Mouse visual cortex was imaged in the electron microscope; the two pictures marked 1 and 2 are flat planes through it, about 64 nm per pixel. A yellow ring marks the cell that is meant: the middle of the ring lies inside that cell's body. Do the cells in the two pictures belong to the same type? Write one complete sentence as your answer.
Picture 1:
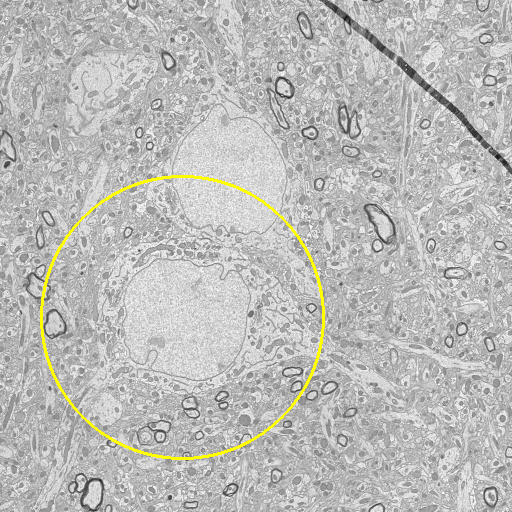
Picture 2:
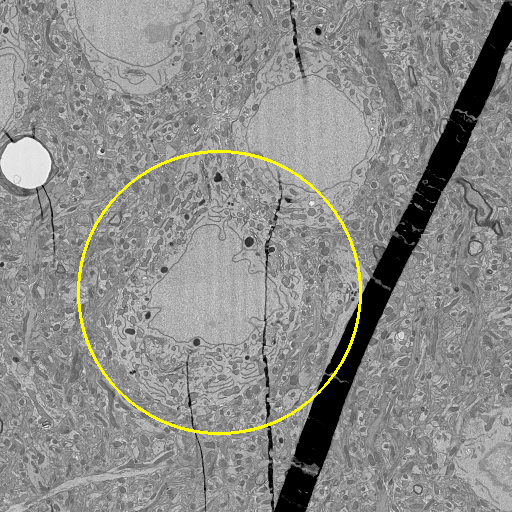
Yes, they are the same type: both are inhibitory neurons.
